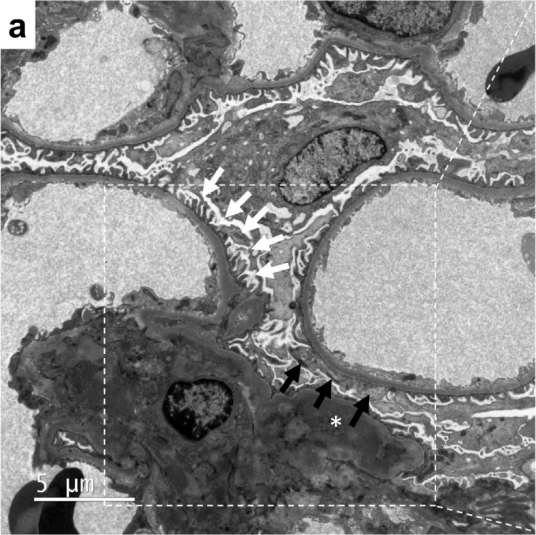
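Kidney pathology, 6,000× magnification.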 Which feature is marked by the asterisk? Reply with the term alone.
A: Mesangial electron-dense deposits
